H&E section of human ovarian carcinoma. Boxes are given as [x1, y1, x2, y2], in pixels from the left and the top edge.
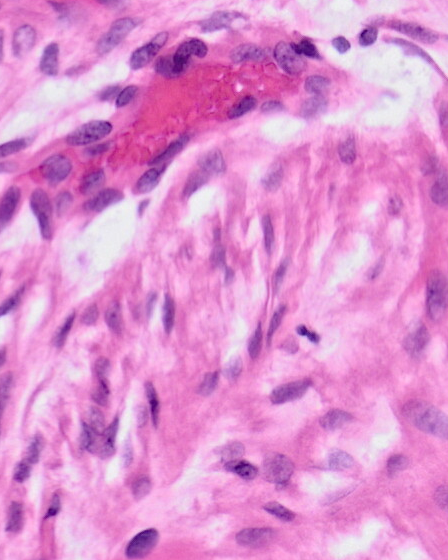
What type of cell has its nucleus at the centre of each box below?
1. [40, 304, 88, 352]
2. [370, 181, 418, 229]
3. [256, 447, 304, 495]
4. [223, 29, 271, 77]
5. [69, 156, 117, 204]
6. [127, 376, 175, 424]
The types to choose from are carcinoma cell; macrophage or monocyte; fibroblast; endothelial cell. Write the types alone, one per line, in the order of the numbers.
fibroblast
fibroblast
fibroblast
endothelial cell
endothelial cell
fibroblast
